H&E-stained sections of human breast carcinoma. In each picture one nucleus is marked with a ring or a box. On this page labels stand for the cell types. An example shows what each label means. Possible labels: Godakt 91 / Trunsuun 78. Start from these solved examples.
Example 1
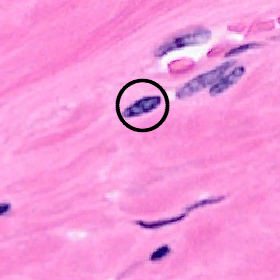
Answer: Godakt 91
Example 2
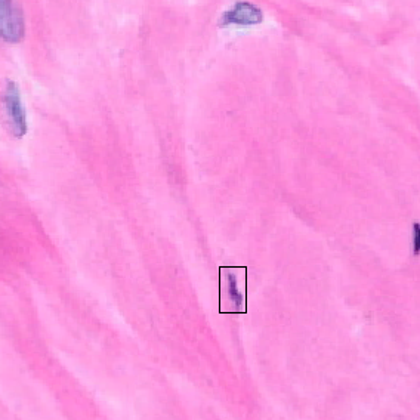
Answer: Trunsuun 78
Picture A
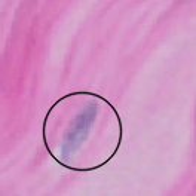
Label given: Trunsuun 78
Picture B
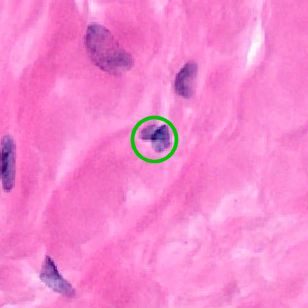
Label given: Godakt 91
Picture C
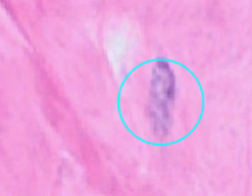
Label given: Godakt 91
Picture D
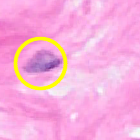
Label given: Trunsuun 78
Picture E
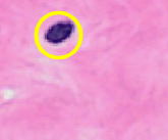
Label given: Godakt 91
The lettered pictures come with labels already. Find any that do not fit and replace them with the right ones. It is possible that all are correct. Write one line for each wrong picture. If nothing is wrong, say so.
C should be Trunsuun 78, not Godakt 91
